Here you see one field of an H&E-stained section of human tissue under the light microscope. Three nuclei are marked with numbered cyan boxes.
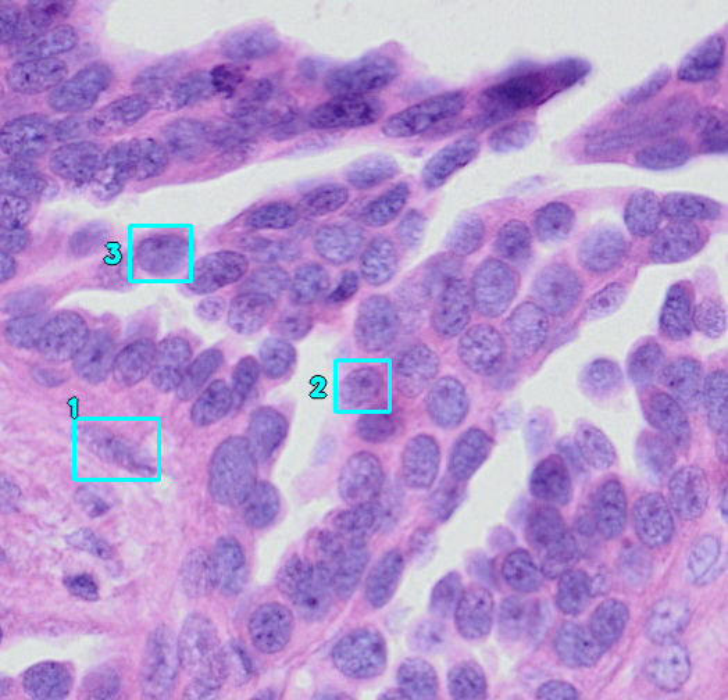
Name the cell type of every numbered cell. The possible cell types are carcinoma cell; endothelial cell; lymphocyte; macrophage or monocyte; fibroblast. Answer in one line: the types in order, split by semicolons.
fibroblast; carcinoma cell; carcinoma cell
